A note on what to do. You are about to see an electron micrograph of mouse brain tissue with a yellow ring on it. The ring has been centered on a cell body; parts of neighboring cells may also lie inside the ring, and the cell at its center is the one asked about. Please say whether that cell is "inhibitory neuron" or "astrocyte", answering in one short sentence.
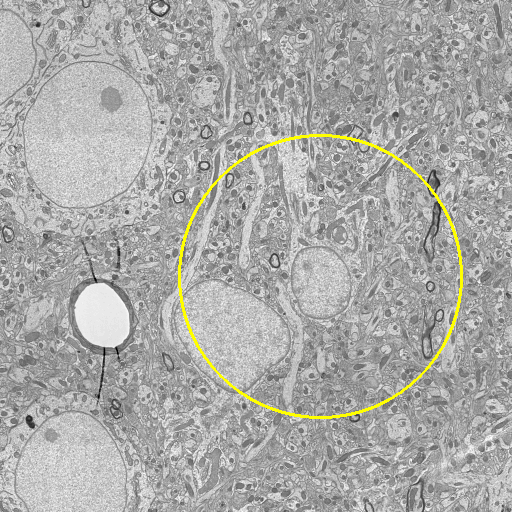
The yellow ring sits on an astrocyte.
